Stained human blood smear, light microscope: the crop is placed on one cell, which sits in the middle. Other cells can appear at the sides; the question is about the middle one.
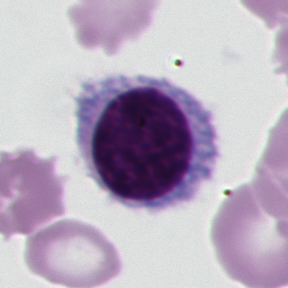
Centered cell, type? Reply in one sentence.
In the middle of this smear crop, the cell is a hairy cell.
